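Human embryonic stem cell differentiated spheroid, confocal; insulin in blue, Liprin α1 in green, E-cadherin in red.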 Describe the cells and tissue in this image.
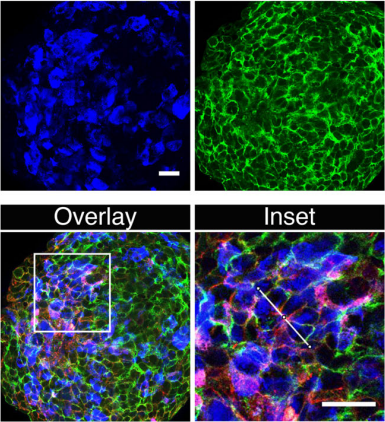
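The cells are small and polygonal and sit closely against one another. The blue fills the cytoplasm of many cells, in patches, so that some cells are bright blue and others are dark. Red is strongest in a cluster of cells towards the upper left, also along cell borders, sometimes lying beside the green lines and sometimes overlapping them in pink-white.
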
